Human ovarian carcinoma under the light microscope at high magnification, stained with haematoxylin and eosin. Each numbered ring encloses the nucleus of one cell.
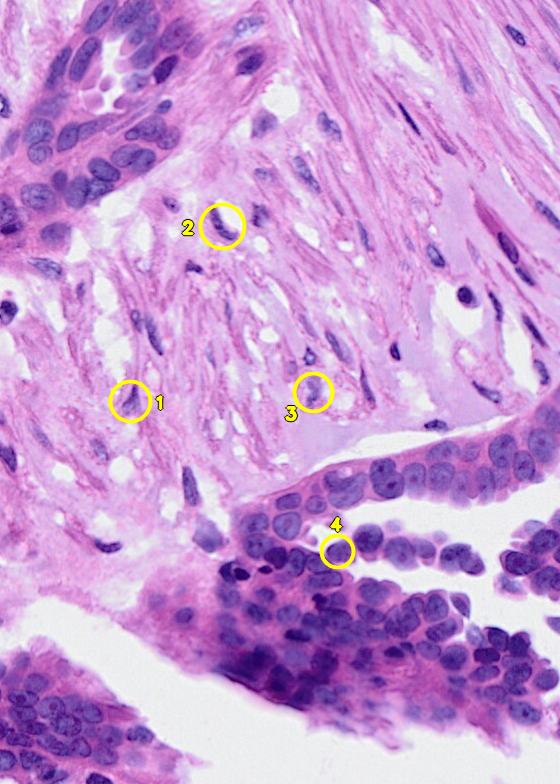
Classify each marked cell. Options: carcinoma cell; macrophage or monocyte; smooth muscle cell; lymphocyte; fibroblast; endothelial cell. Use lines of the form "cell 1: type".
cell 1: fibroblast
cell 2: fibroblast
cell 3: fibroblast
cell 4: carcinoma cell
